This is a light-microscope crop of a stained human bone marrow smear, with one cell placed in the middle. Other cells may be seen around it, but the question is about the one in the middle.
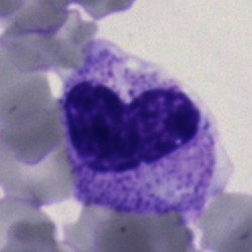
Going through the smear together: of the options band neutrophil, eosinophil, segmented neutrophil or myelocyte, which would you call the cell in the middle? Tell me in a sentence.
The cell centered in this field of view is a band neutrophil.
